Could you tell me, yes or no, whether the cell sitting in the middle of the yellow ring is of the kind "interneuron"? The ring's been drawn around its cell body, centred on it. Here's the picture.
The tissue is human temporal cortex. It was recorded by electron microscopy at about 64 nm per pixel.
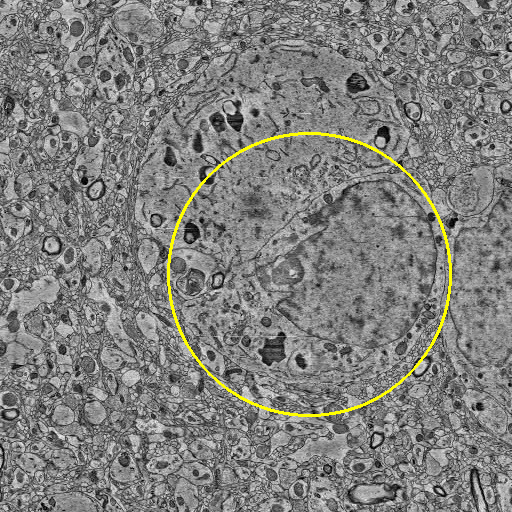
Yes, it is.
